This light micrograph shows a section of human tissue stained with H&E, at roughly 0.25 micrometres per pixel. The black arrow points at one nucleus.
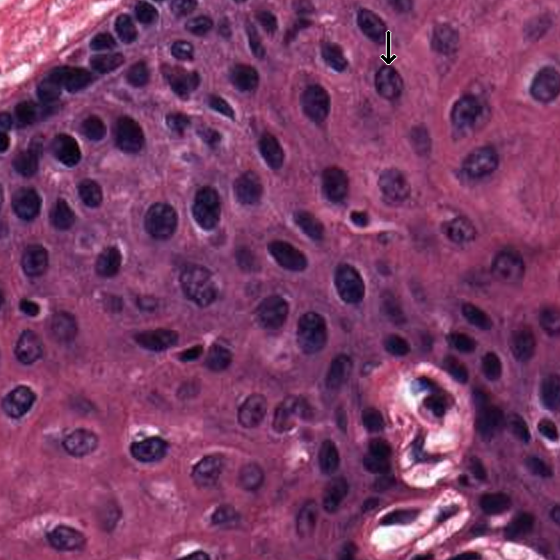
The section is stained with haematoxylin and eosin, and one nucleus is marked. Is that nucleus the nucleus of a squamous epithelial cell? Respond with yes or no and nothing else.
yes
